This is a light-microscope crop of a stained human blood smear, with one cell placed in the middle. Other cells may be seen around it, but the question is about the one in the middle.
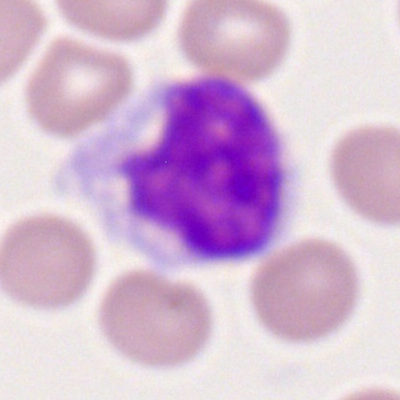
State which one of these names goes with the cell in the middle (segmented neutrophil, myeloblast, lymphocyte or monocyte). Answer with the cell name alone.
monocyte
